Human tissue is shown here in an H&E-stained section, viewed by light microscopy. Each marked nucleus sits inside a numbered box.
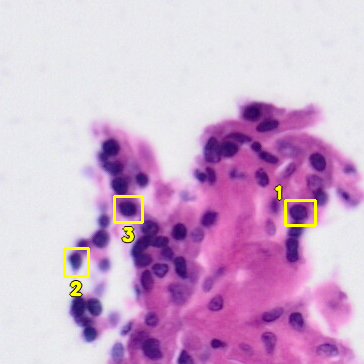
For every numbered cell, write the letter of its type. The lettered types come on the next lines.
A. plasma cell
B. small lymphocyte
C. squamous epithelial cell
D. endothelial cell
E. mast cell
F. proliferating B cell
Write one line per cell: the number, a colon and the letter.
1: A
2: B
3: A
